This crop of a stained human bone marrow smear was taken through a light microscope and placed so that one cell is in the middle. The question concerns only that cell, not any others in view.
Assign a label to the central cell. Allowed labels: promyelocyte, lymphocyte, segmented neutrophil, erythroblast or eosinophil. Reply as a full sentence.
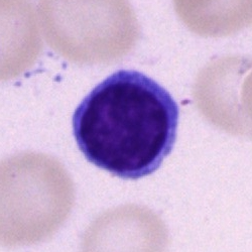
Seen at the centre of the crop is a lymphocyte.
